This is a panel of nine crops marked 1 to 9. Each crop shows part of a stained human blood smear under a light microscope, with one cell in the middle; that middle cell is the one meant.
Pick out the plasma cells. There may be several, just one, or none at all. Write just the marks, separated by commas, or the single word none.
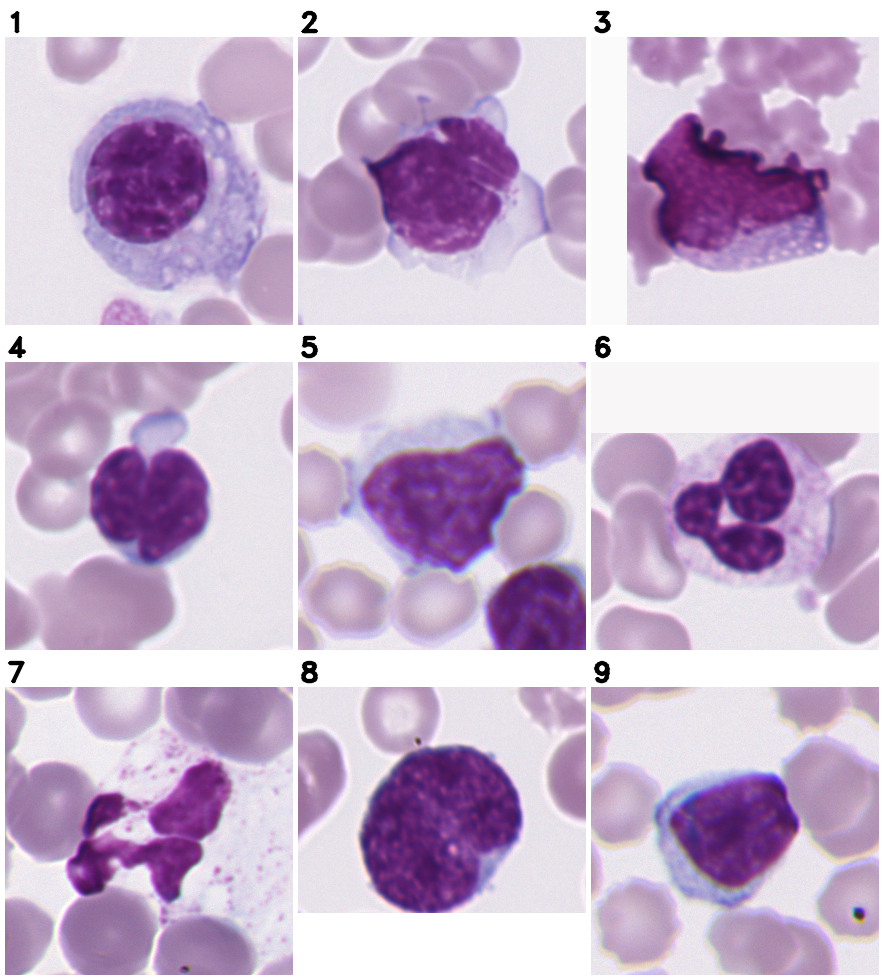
1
